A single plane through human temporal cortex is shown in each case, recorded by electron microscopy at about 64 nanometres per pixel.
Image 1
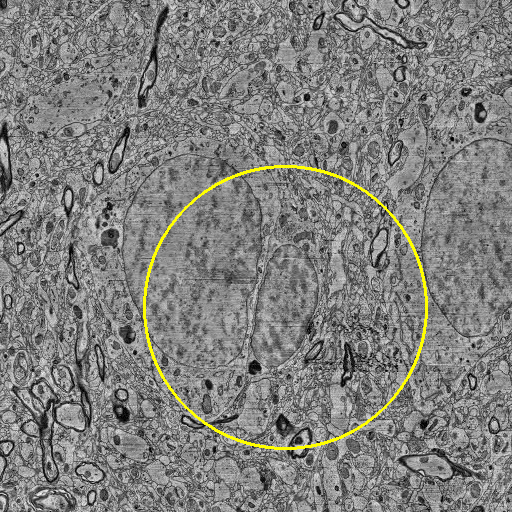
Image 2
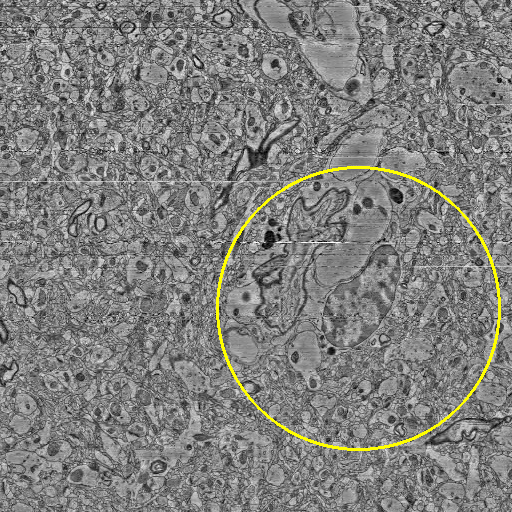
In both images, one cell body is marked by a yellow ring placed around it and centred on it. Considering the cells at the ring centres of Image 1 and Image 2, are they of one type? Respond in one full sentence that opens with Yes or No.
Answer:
No, two types apply to the ring-centred cells of Image 1 and Image 2.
